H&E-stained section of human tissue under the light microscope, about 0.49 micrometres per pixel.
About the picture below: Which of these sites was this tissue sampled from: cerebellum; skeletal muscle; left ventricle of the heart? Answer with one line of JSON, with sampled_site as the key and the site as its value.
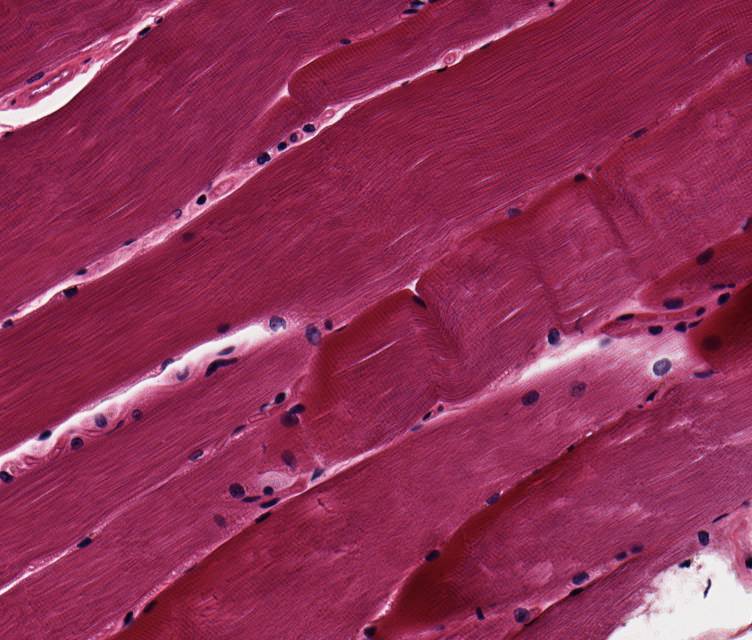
{"sampled_site": "skeletal muscle"}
